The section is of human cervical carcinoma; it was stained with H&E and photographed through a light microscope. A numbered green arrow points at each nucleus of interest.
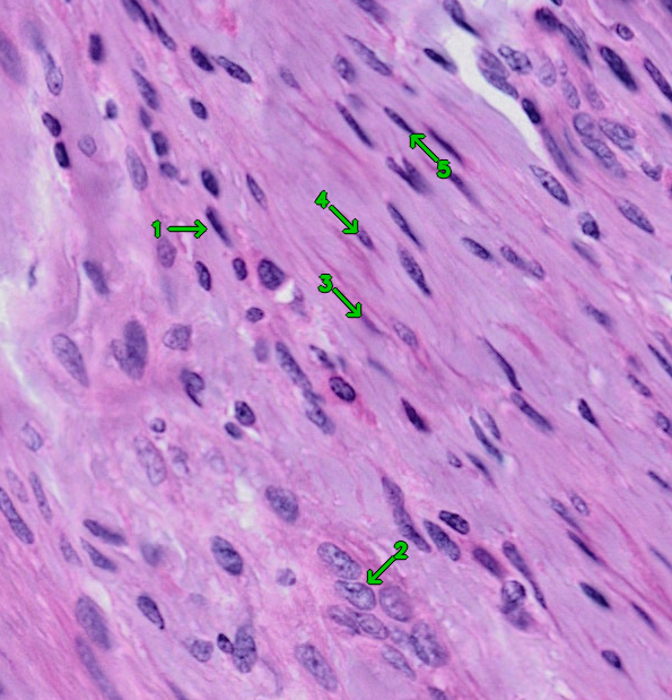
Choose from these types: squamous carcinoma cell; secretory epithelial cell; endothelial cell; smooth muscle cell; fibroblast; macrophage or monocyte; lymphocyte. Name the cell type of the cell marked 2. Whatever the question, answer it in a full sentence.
The cell tagged with 2 in this tissue section is an endothelial cell.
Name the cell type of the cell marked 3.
The nucleus with number 3 is that of a smooth muscle cell.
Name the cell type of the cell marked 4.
Cell 4, as marked in the section, is a smooth muscle cell.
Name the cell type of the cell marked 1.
The cell that is numbered 1 is a fibroblast.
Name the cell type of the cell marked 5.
The cell numbered 5 has been identified as a fibroblast.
